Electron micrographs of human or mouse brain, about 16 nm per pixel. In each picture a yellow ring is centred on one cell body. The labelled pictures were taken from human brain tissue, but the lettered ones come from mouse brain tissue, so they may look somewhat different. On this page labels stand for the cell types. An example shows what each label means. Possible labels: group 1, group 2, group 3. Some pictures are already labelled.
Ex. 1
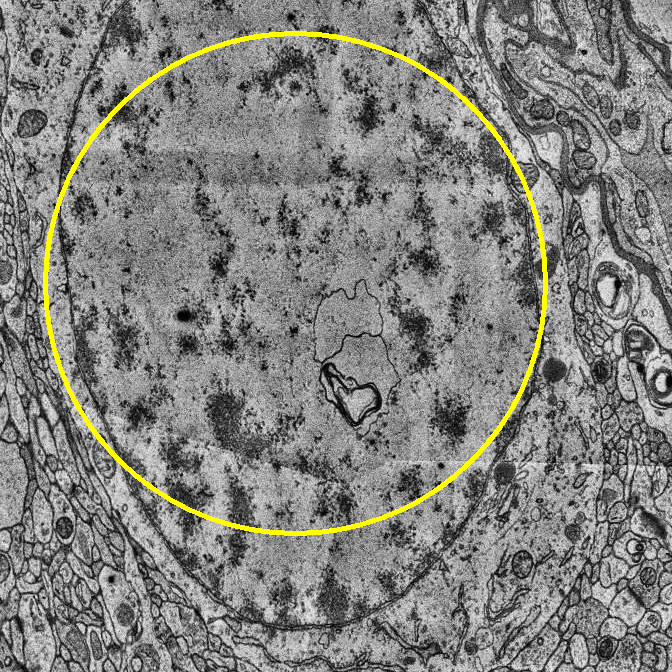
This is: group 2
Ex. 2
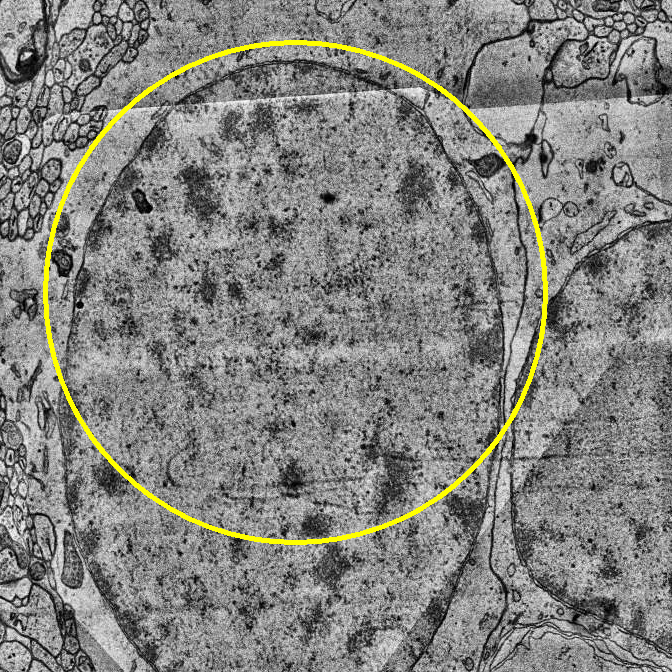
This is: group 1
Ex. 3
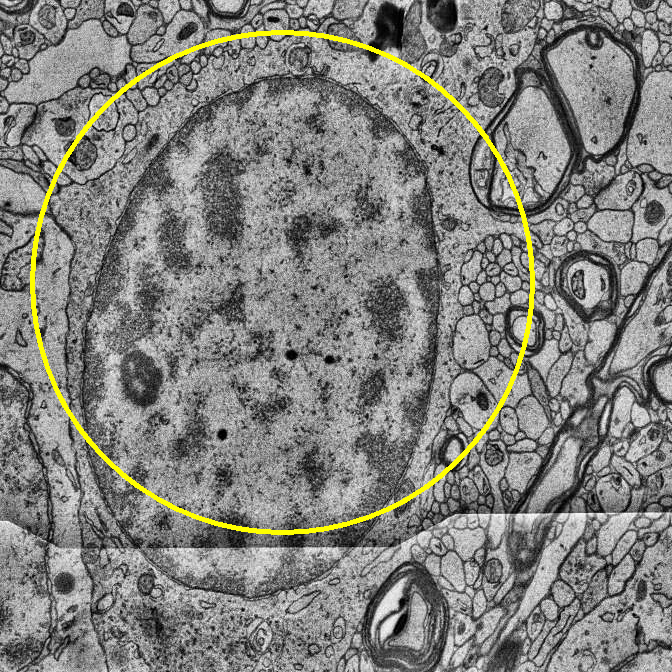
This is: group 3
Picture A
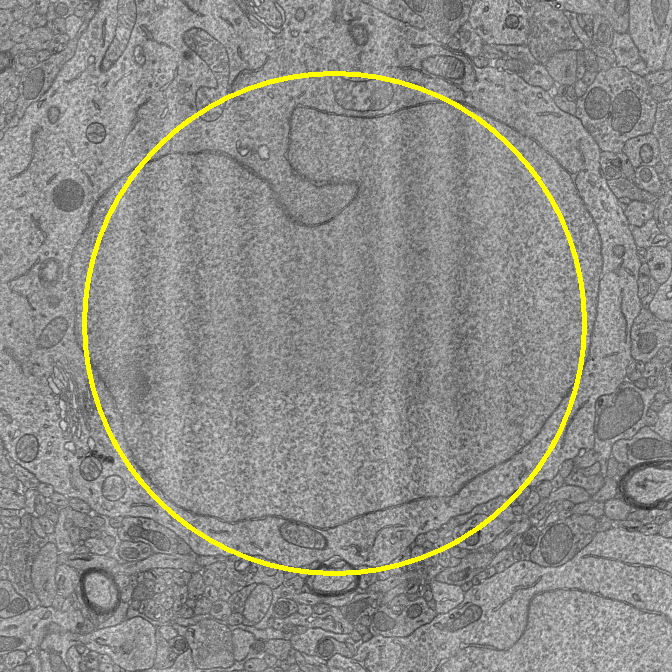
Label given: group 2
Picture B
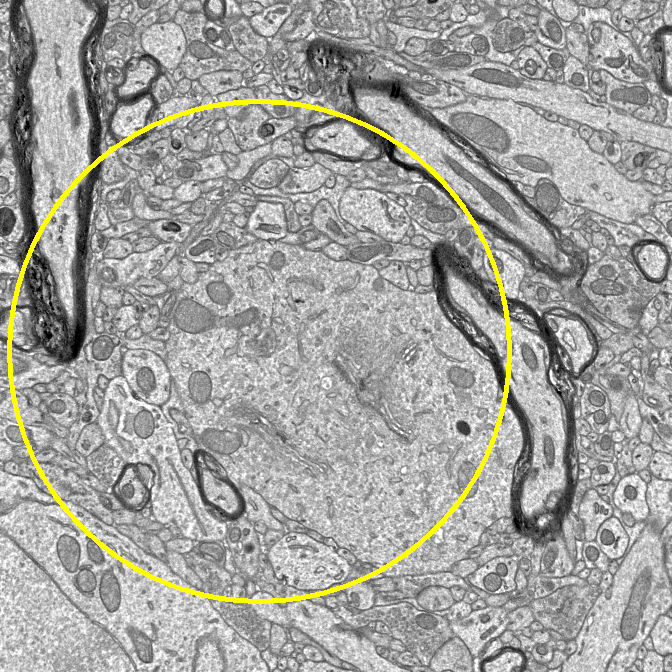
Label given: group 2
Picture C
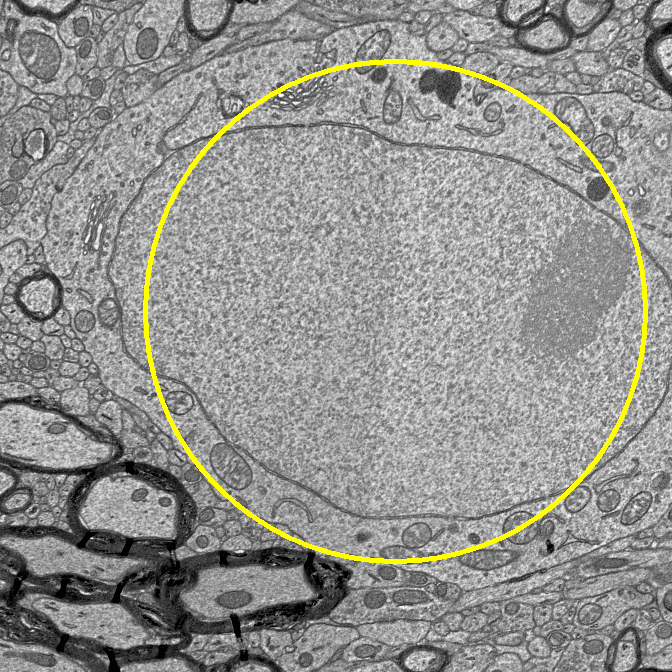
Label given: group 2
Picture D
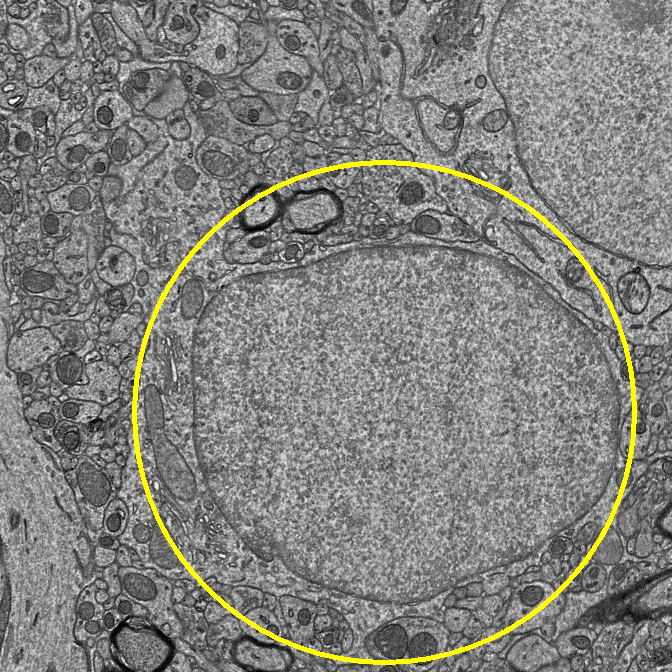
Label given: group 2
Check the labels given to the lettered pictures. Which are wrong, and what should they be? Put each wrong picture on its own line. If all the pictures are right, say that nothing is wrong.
B: change group 2 to group 3
D: change group 2 to group 1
